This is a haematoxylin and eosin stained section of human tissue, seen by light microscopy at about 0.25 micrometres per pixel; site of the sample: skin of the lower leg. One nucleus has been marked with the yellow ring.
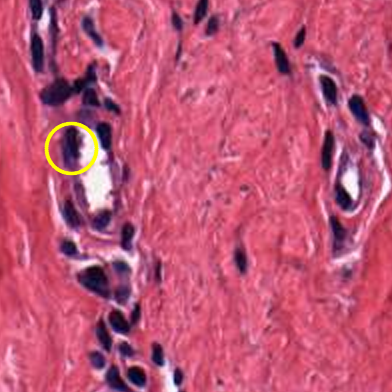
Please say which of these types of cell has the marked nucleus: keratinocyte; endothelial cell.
endothelial cell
